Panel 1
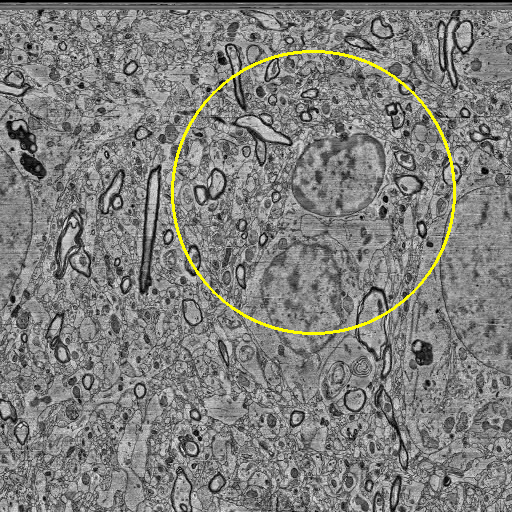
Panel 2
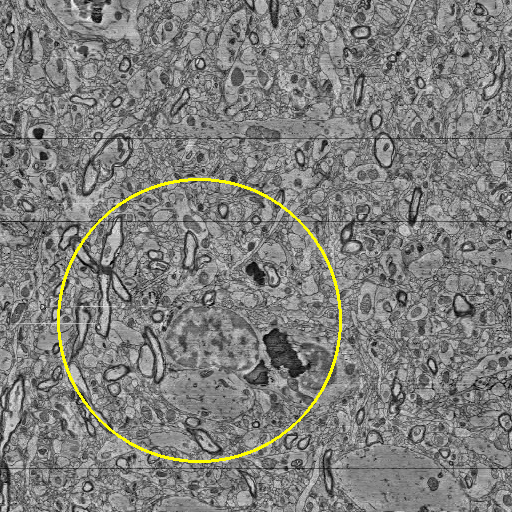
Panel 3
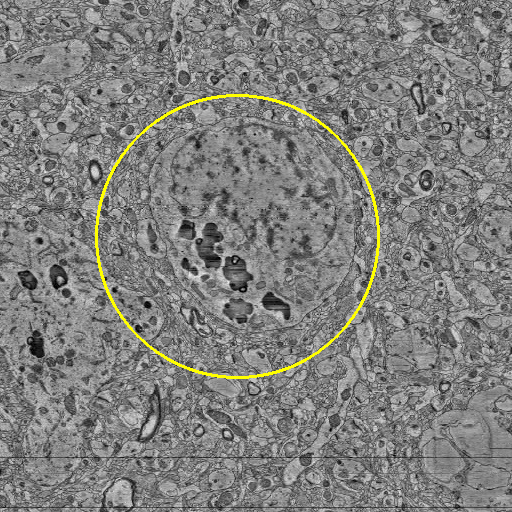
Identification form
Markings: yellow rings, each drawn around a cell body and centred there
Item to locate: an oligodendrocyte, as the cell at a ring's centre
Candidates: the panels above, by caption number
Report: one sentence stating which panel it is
It is Panel 2.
